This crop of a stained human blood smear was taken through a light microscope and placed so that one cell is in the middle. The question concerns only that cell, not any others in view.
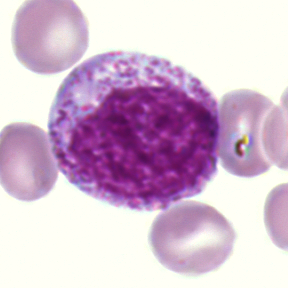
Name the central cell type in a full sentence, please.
In the center of this field lies a myelocyte.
